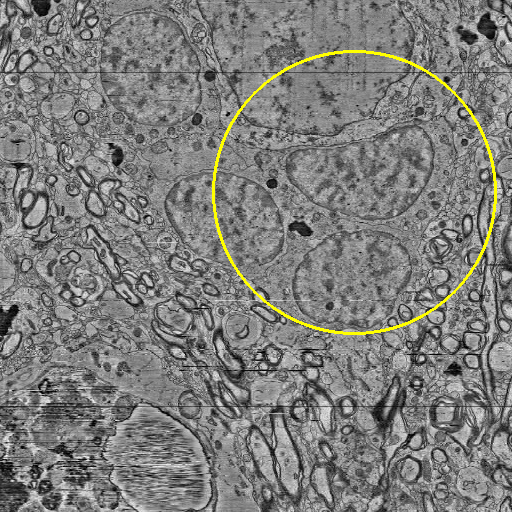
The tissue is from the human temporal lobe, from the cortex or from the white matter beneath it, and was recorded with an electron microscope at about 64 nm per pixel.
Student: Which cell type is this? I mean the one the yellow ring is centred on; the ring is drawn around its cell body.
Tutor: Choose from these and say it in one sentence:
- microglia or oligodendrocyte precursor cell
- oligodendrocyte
The cell the ring is centred on is an oligodendrocyte.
